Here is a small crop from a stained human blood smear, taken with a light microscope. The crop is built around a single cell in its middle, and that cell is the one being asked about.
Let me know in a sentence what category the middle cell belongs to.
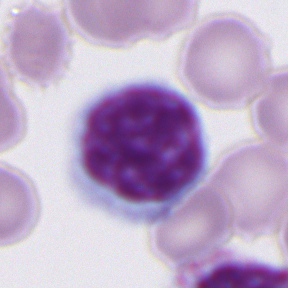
At the middle of the frame sits a lymphocyte.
